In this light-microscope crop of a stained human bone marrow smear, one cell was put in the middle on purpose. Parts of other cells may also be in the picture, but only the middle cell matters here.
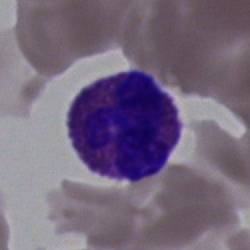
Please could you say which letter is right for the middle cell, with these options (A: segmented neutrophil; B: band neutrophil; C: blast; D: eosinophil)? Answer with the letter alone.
D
